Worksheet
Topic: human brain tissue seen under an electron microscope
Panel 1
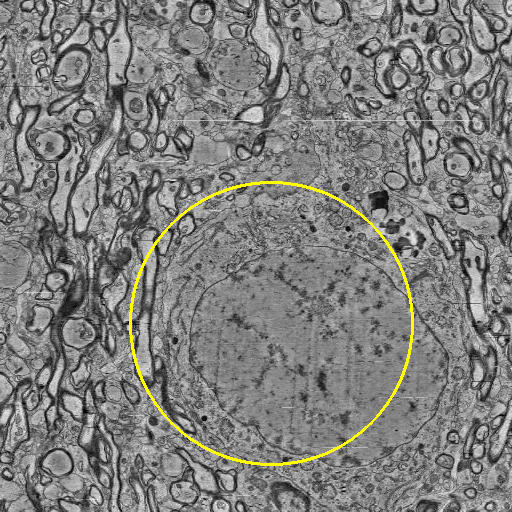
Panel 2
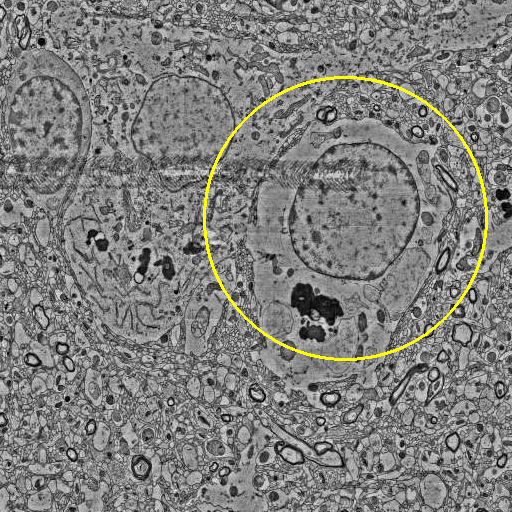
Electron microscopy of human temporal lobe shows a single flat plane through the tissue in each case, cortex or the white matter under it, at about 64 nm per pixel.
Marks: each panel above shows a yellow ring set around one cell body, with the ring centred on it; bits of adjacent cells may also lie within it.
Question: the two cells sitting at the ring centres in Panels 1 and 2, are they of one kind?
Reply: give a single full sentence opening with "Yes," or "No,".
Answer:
No, the two ring-centre cells in Panel 1 and Panel 2 are of two kinds.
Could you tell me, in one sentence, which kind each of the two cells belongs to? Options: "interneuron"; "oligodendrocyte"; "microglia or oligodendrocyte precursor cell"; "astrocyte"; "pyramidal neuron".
At the centre of the first ring sits a pyramidal neuron, and at the centre of the second sits an astrocyte.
